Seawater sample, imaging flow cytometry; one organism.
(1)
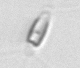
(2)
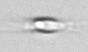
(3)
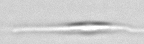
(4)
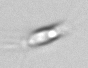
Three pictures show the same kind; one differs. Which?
Picture 3: Cylindrotheca, while the others are Chrysochromulina parkeae.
